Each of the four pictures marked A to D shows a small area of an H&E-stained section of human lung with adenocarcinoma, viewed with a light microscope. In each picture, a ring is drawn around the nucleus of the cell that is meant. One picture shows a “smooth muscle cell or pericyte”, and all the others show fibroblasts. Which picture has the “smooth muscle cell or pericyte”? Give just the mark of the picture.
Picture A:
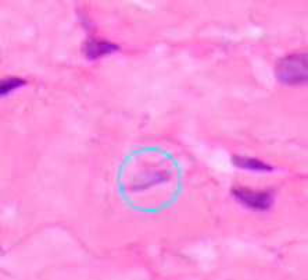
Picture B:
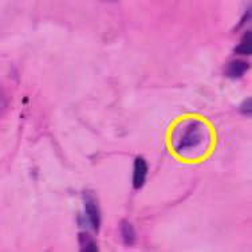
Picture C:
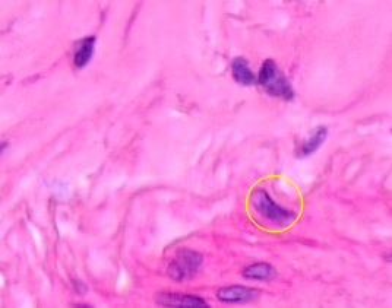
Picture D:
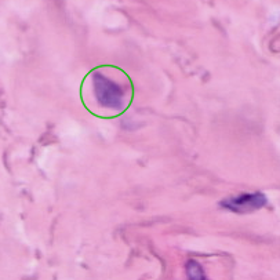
C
